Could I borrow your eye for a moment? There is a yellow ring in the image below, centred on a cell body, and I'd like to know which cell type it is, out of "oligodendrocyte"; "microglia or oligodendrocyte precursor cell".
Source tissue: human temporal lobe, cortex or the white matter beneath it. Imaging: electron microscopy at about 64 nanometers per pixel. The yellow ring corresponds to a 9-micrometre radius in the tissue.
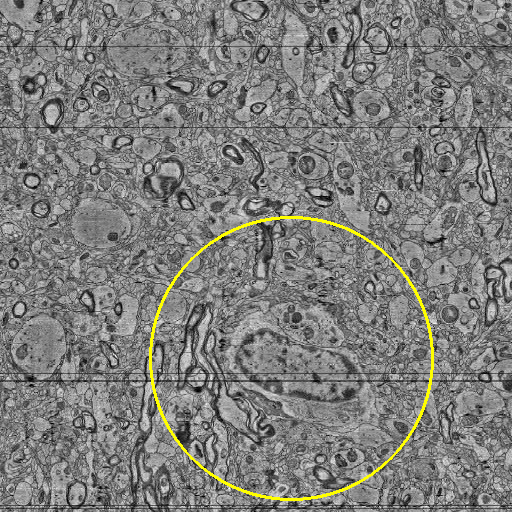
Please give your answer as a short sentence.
The cell body at the centre is that of a microglial cell or oligodendrocyte precursor cell.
